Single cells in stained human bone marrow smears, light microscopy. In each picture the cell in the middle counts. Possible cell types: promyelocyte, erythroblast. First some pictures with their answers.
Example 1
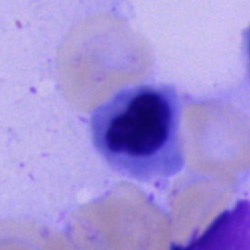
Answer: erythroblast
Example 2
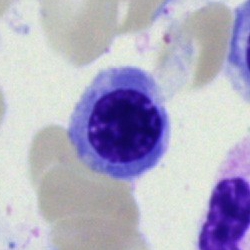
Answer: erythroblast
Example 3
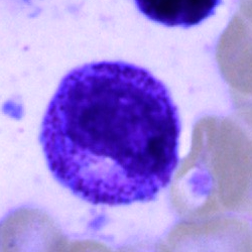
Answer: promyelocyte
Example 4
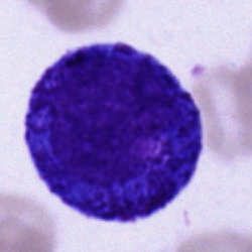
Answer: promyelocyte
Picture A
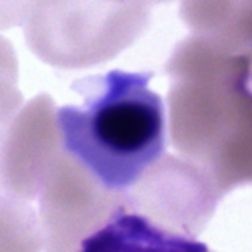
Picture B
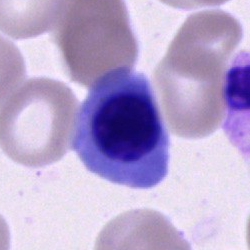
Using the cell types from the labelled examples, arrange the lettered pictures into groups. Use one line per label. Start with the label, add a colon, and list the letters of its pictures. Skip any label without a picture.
erythroblast: A, B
